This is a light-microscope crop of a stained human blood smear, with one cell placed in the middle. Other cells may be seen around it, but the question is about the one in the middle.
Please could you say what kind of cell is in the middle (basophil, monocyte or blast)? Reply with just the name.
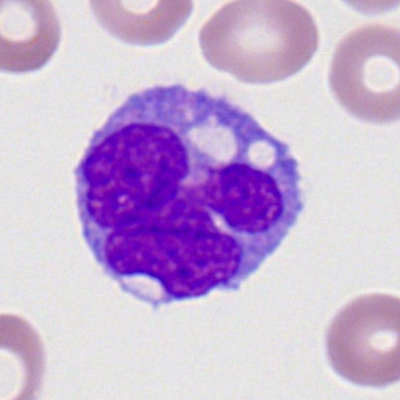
monocyte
